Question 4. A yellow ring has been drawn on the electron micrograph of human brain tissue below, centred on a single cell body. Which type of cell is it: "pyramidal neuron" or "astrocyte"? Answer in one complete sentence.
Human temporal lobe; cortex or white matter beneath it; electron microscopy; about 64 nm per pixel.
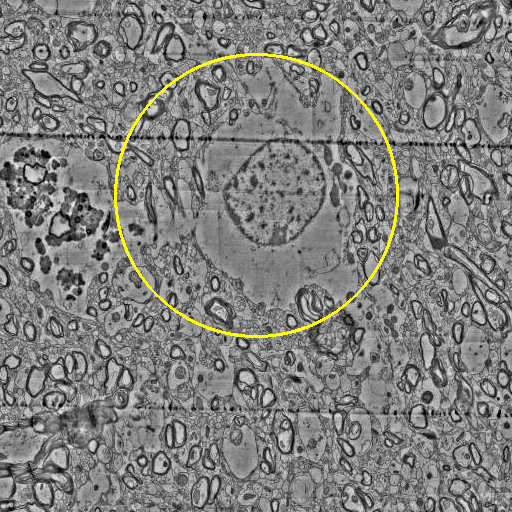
This cell body belongs to an astrocyte.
